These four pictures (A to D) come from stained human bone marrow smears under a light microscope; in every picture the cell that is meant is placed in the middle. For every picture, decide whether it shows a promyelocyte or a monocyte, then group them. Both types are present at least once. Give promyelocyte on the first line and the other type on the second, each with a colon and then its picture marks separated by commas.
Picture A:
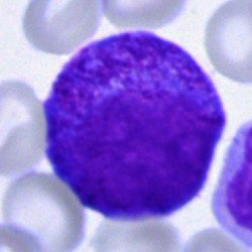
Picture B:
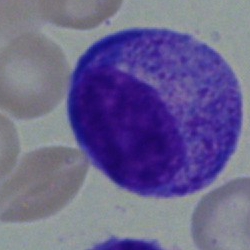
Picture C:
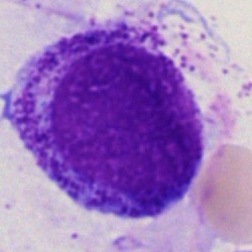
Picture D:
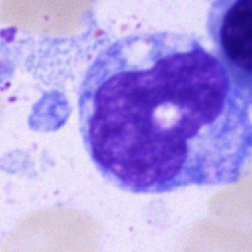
promyelocyte: A, B, C
monocyte: D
